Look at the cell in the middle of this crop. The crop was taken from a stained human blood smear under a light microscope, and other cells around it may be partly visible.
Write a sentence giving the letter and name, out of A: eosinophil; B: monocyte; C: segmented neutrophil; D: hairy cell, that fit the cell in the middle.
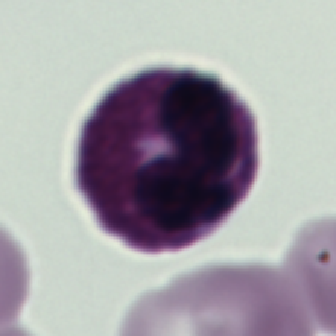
Since the cell in the middle is an eosinophil, option A is correct.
